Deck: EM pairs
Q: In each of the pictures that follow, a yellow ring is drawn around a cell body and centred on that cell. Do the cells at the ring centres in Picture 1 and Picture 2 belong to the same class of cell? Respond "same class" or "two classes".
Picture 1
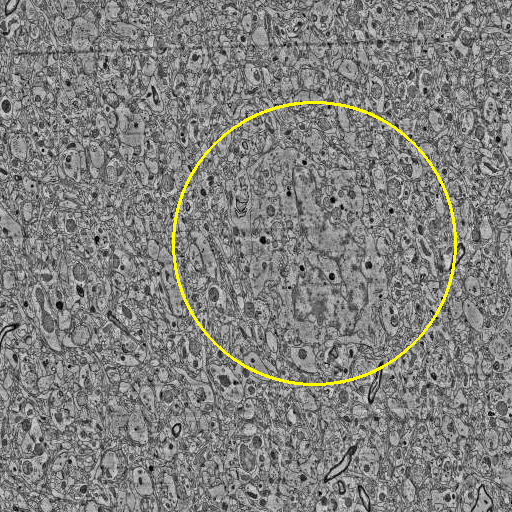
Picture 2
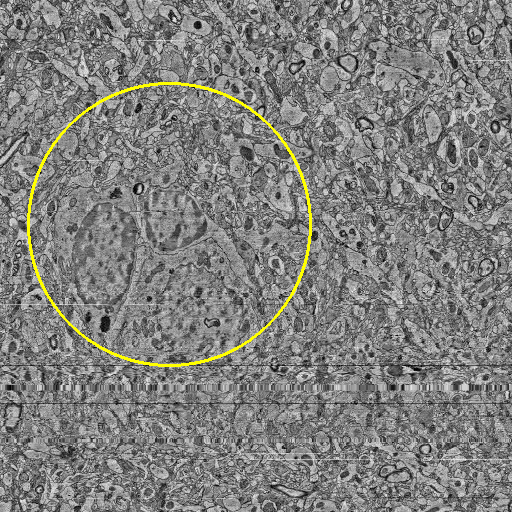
two classes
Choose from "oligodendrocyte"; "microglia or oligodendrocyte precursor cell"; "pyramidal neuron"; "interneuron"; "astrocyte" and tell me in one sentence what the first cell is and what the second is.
What the first ring is centred on is an interneuron; what the second ring is centred on is a microglial cell or oligodendrocyte precursor cell.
